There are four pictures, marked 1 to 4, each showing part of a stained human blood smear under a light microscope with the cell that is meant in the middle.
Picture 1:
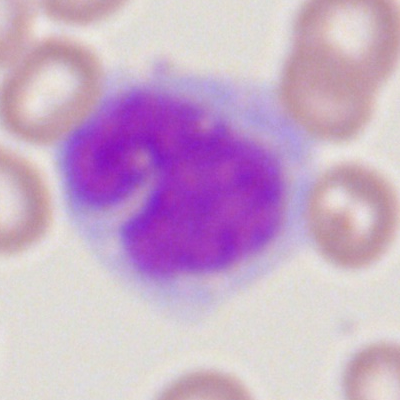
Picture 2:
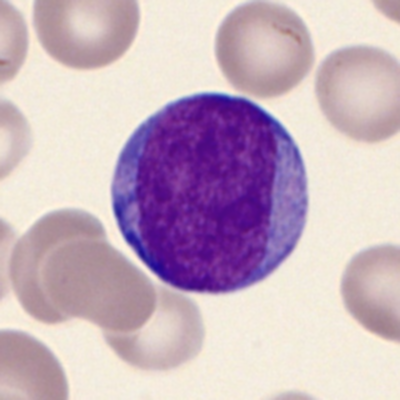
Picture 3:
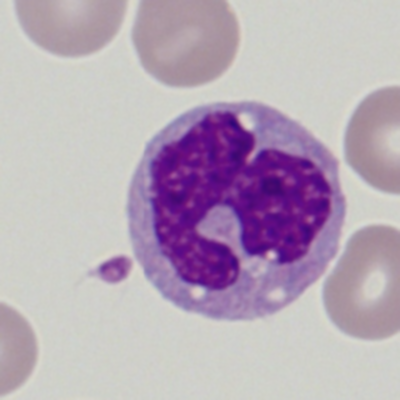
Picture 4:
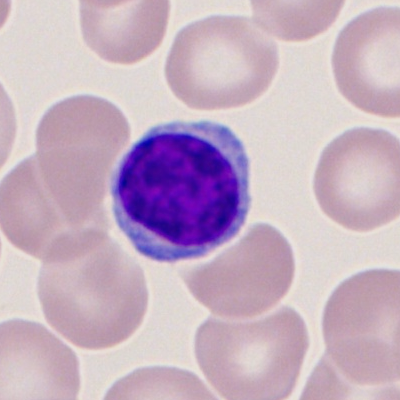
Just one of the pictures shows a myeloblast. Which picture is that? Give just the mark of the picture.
2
